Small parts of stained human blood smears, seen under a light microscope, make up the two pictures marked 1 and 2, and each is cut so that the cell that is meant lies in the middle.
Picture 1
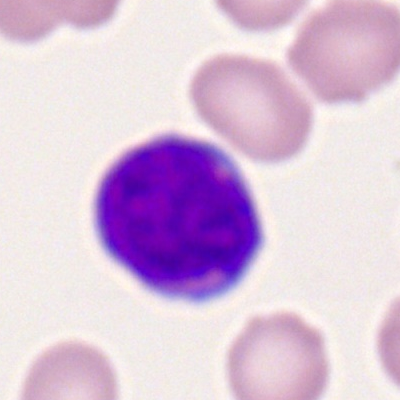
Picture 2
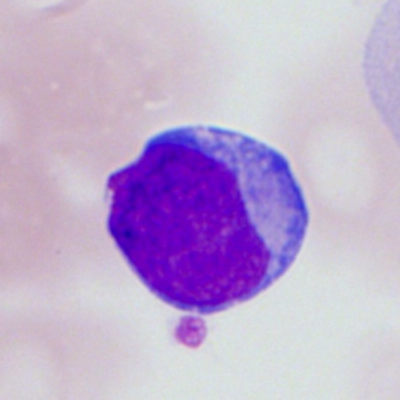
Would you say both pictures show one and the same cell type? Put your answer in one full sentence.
No, the types are not the same, since picture 1 shows a lymphocyte and picture 2 a myeloblast.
